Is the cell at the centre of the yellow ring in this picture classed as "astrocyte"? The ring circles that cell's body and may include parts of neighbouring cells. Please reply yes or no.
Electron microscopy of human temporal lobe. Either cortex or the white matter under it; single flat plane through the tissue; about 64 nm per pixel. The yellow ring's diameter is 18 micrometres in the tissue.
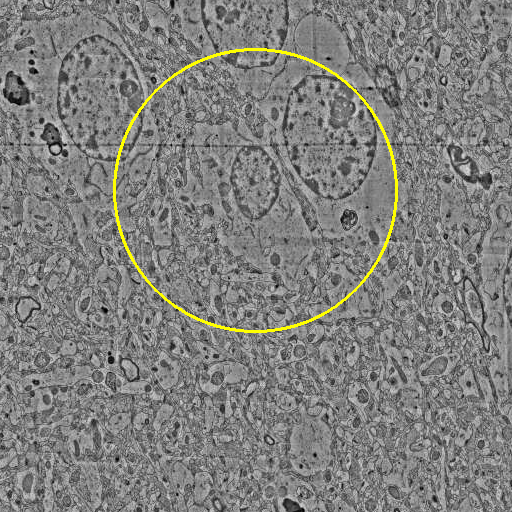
Yes, it is of that kind.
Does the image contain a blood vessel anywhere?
Yes, a blood vessel can be seen.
